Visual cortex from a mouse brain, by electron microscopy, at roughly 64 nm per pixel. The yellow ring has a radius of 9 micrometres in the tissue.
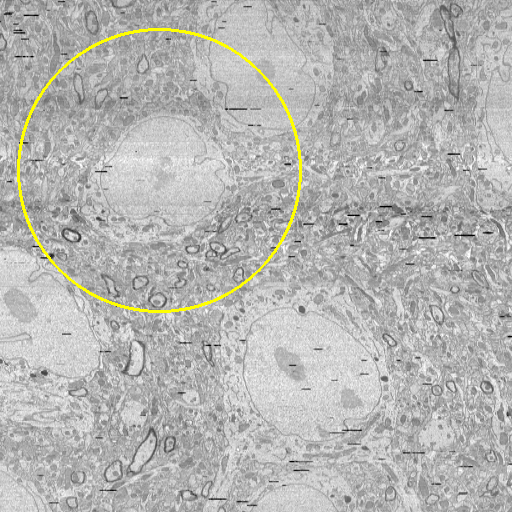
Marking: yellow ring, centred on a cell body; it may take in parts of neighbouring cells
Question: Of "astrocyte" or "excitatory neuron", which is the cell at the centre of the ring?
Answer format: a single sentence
The ring surrounds the body of an excitatory neuron.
